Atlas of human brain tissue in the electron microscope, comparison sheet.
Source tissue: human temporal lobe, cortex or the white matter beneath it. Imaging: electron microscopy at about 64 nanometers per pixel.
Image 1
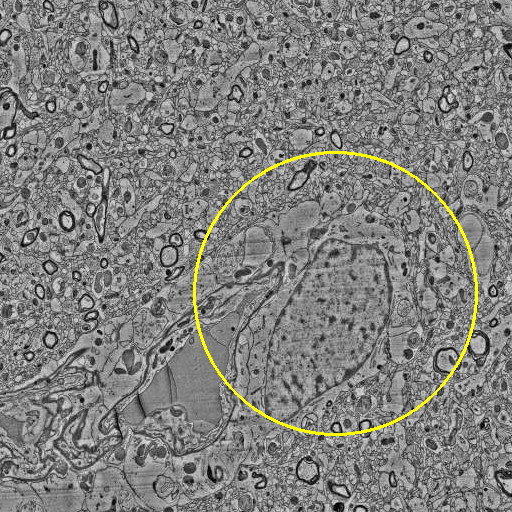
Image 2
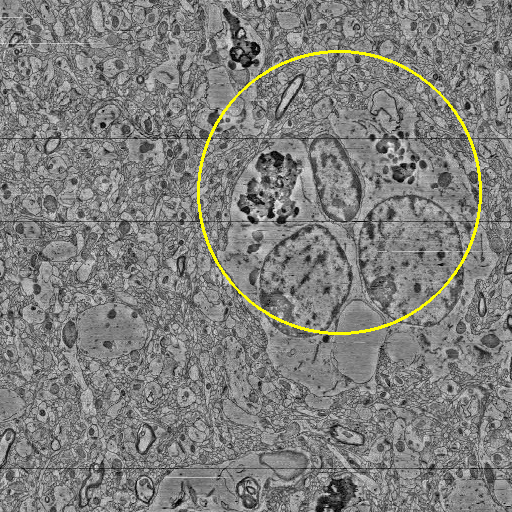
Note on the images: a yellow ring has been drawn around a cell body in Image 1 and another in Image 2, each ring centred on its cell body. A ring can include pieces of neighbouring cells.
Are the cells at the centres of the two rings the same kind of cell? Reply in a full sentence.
Yes, both cells are of the same kind.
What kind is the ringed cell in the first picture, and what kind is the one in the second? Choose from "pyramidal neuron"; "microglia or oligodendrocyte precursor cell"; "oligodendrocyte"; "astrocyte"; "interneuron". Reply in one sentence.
Each of the two rings is centred on a microglial cell or oligodendrocyte precursor cell.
